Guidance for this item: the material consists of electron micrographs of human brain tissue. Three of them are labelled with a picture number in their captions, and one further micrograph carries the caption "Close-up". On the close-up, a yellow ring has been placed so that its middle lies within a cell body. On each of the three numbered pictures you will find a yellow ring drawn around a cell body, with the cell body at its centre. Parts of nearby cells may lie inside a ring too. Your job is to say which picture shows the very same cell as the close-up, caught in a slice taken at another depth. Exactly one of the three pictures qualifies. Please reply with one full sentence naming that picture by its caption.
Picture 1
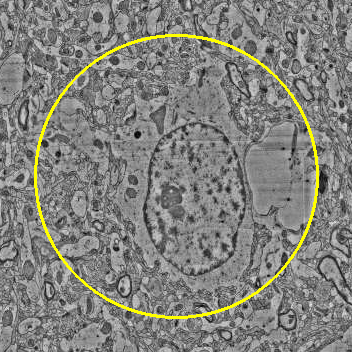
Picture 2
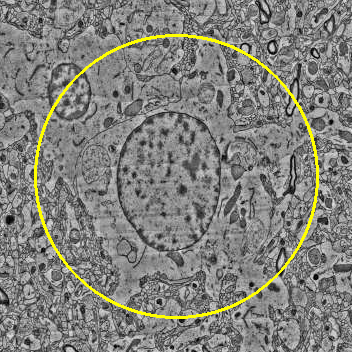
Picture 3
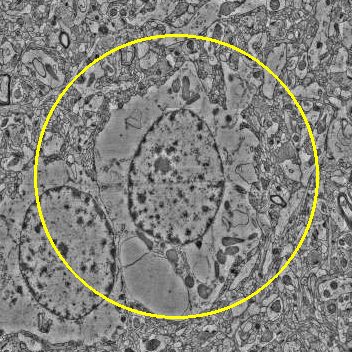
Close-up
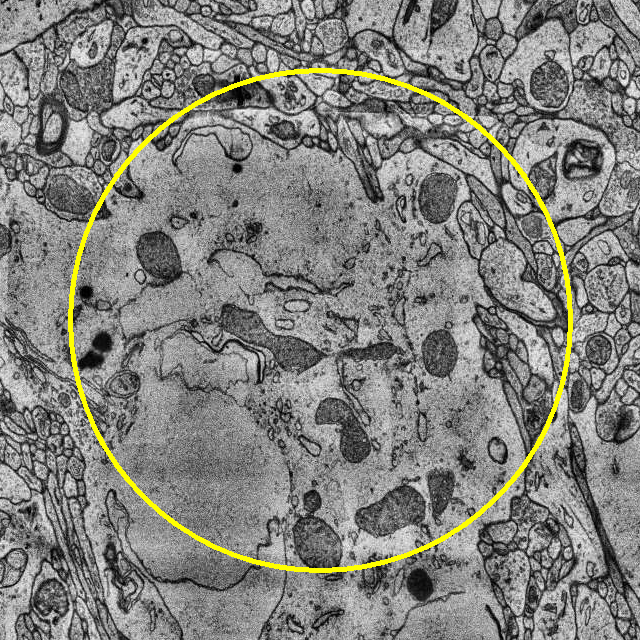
The cell featured in the close-up is found in Picture 3.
